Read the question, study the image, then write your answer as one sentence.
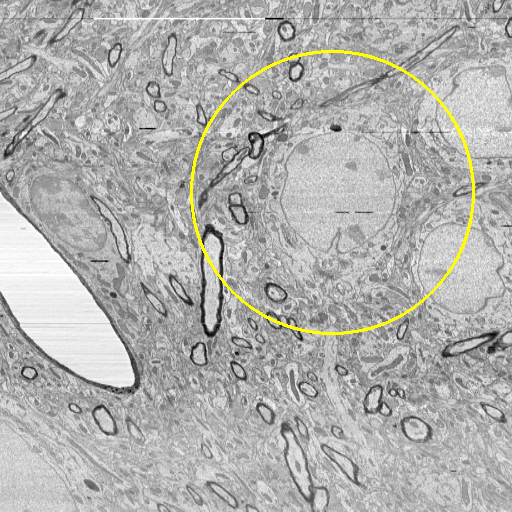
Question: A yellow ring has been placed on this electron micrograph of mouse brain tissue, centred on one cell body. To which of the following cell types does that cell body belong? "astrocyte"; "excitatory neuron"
That cell body belongs to an excitatory neuron.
